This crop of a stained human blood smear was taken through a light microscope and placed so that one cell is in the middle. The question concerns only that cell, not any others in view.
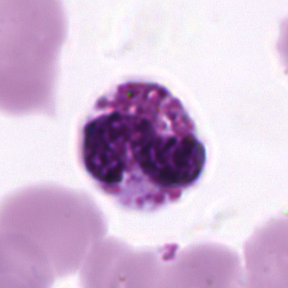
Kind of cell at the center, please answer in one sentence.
The middle of this crop holds an eosinophil.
